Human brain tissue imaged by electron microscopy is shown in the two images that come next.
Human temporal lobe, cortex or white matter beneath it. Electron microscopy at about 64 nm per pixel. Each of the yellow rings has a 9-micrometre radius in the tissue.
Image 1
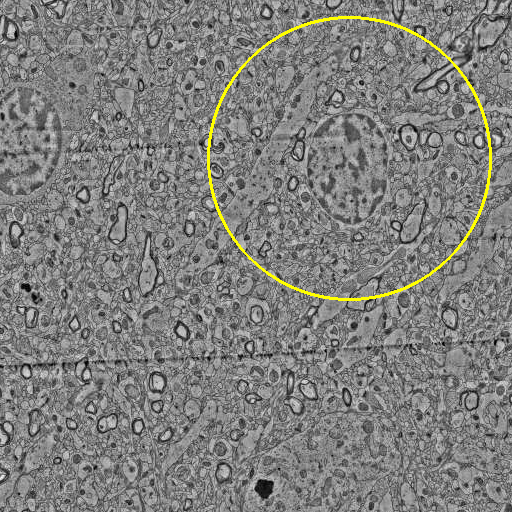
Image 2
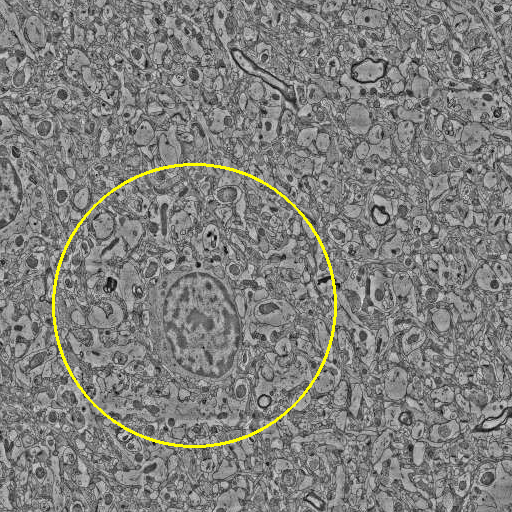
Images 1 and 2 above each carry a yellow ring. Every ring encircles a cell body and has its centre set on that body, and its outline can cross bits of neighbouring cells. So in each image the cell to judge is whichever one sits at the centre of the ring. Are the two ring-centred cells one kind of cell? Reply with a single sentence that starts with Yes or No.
No, in Image 1 and Image 2 the cells at the centres of their rings fall into two types.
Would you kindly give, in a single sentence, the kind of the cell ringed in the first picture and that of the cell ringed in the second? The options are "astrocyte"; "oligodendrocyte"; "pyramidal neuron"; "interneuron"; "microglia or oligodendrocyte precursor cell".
The second cell is an oligodendrocyte, and the first cell is a microglial cell or oligodendrocyte precursor cell.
